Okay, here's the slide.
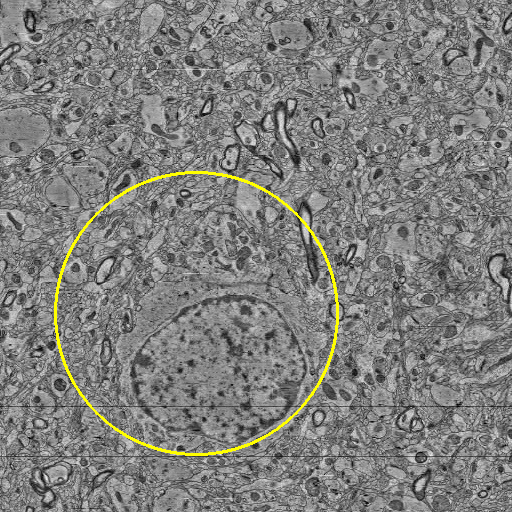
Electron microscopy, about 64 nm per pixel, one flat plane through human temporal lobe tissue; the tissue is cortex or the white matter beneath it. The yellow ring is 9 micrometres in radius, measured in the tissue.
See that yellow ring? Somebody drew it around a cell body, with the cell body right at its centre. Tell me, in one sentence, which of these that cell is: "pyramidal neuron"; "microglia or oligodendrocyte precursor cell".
The cell in the middle of the ring is a microglial cell or oligodendrocyte precursor cell.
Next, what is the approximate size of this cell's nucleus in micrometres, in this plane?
The nucleus is about 10 micrometres across in this plane.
